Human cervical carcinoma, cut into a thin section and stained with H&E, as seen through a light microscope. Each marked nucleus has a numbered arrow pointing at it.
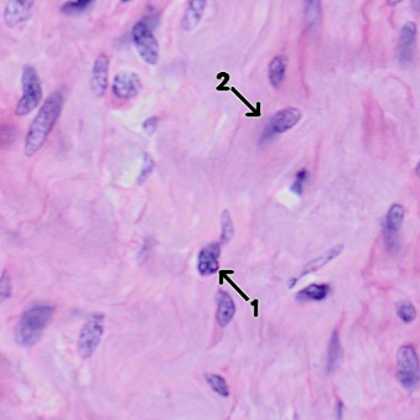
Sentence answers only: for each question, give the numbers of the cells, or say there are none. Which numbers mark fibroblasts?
Cell 2 is a fibroblast, while all remaining marked cells are of other types.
